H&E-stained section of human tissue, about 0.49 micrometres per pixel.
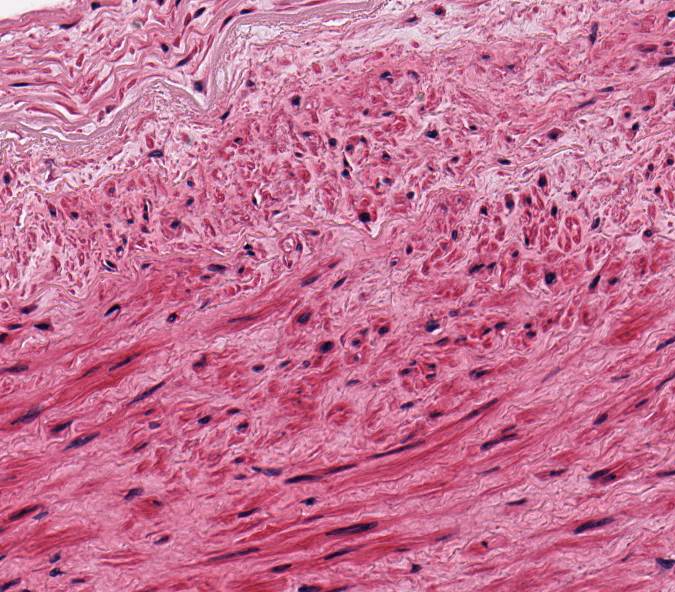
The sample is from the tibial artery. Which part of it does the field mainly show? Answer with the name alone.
tunica media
